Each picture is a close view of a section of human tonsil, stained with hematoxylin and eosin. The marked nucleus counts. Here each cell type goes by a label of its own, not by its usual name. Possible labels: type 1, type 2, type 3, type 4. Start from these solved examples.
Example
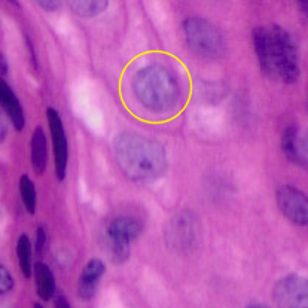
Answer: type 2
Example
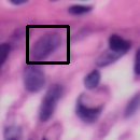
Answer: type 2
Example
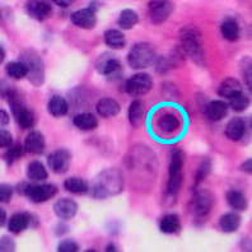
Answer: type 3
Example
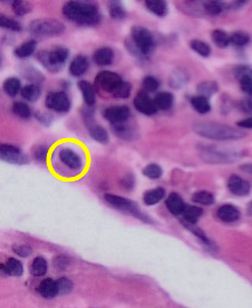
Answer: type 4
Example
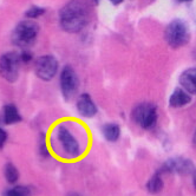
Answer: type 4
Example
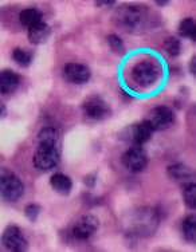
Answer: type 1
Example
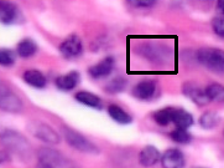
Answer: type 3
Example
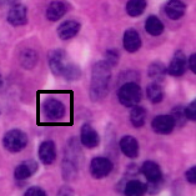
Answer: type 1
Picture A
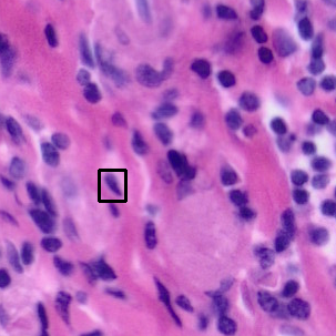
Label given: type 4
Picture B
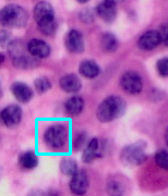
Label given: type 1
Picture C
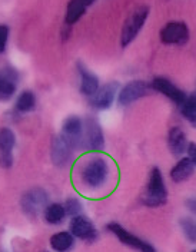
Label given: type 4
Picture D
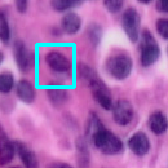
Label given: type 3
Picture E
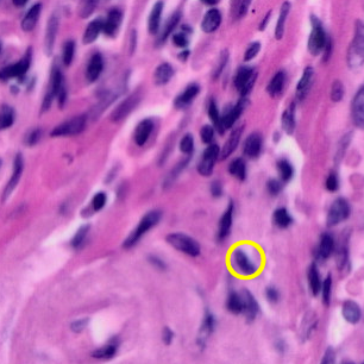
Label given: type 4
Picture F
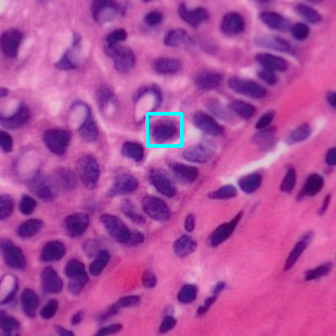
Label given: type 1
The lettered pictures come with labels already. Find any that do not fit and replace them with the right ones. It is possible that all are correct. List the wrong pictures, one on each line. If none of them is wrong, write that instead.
F should be type 2, not type 1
